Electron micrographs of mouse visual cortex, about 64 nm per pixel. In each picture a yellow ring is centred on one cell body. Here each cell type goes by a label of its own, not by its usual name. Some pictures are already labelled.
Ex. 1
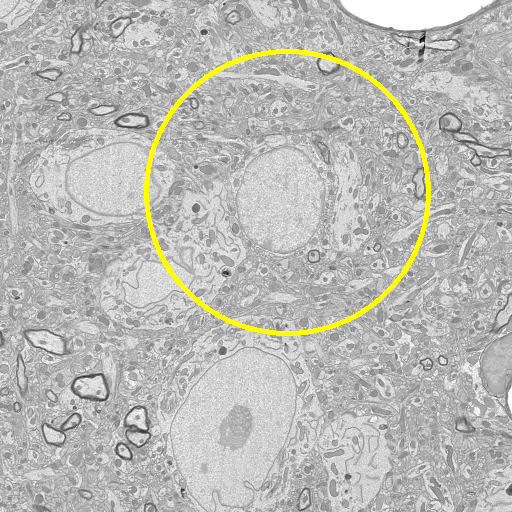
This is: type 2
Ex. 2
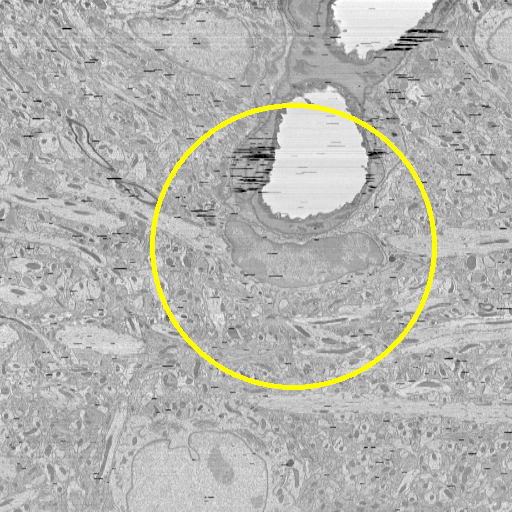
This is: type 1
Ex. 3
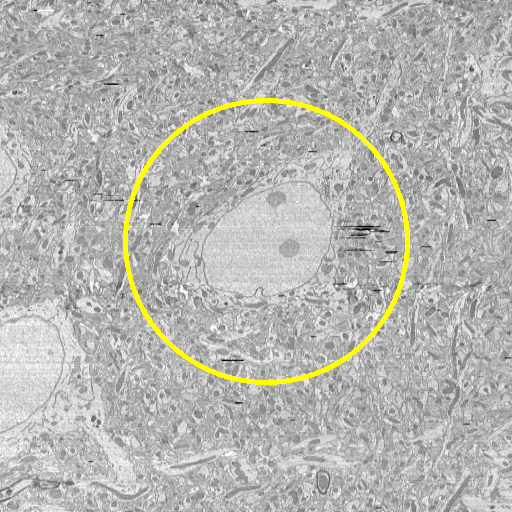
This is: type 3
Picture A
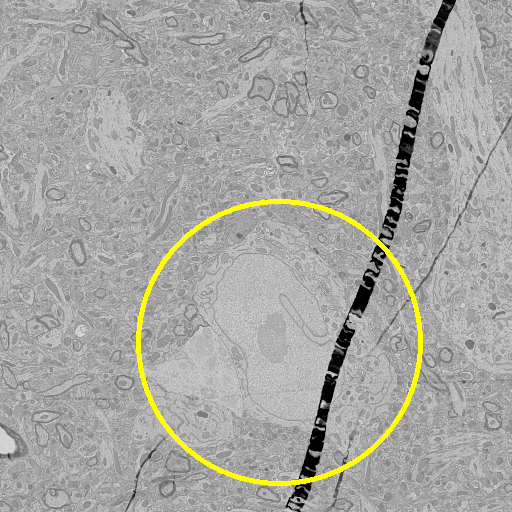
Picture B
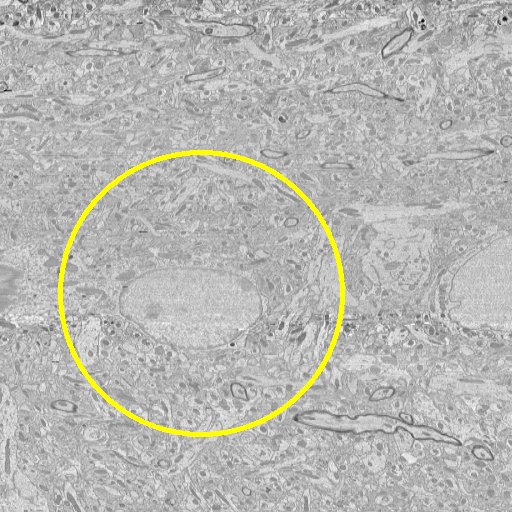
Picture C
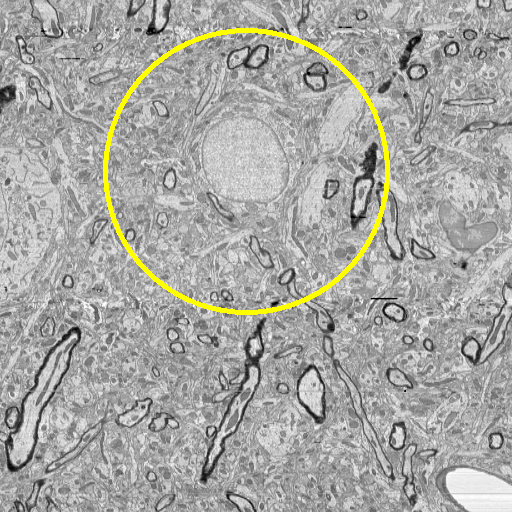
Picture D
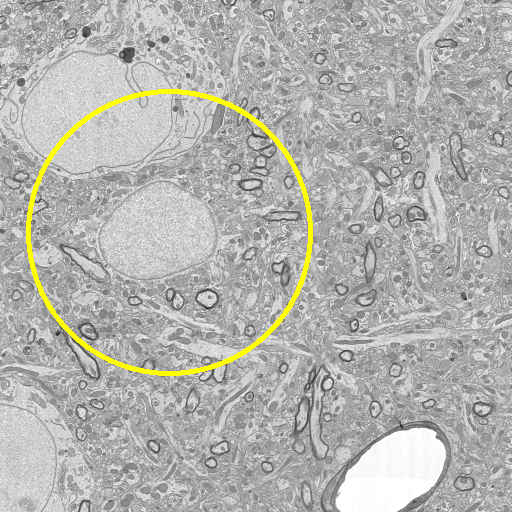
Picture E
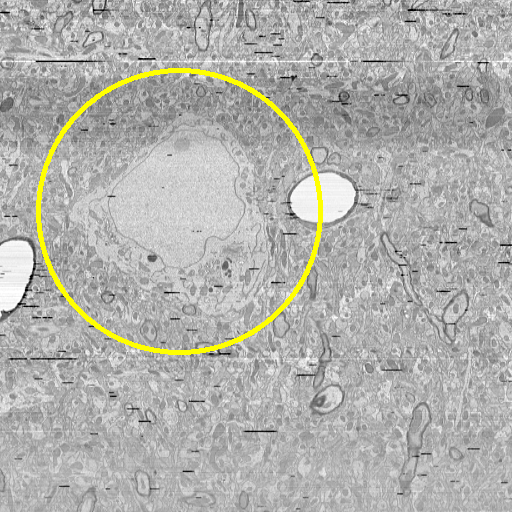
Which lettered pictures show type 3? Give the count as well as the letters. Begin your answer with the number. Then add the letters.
2, namely A, E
